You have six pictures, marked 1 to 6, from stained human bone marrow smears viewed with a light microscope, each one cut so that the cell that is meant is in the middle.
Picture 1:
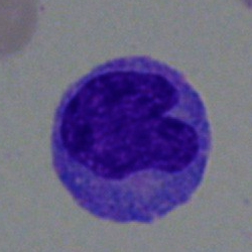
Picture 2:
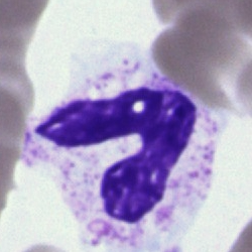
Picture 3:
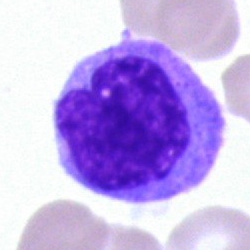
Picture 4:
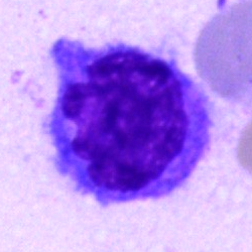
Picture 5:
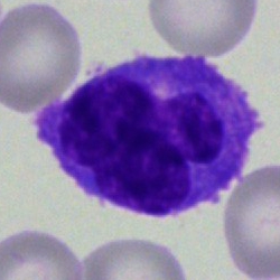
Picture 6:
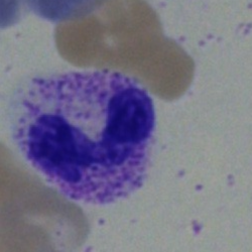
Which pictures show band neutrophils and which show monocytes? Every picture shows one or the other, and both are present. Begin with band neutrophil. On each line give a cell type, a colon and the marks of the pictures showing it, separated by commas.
band neutrophil: 2, 6
monocyte: 1, 3, 4, 5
